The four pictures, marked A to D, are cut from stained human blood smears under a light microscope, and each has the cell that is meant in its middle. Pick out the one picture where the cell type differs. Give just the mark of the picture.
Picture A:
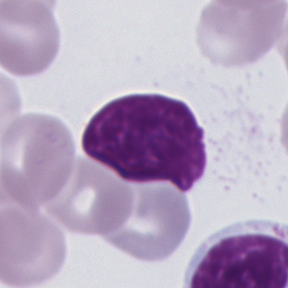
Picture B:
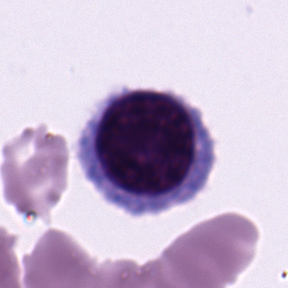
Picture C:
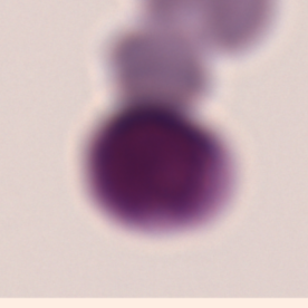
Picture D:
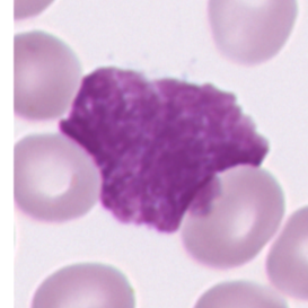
B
